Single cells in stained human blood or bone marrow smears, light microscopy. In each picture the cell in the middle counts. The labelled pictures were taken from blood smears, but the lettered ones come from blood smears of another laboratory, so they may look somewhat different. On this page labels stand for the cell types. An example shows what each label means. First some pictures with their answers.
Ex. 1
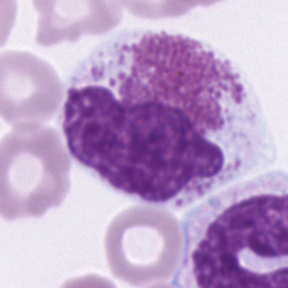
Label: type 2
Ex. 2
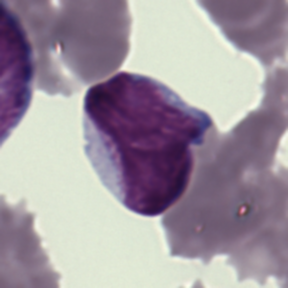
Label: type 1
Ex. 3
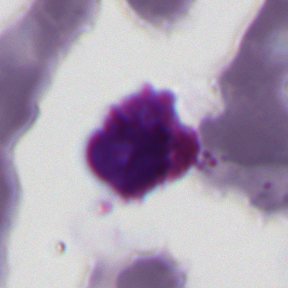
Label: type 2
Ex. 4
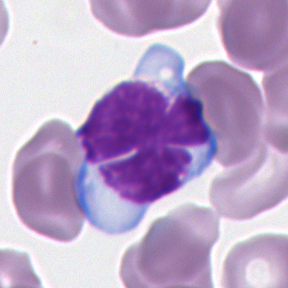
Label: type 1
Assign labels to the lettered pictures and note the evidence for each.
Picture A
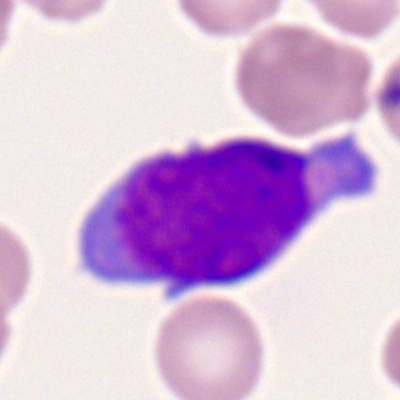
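type 1. Evidence: The nucleus fills most of the cell.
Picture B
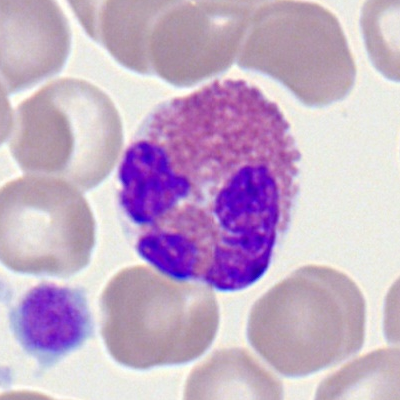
type 2. Evidence: The nucleus is split into separate lobes rather than forming one single mass.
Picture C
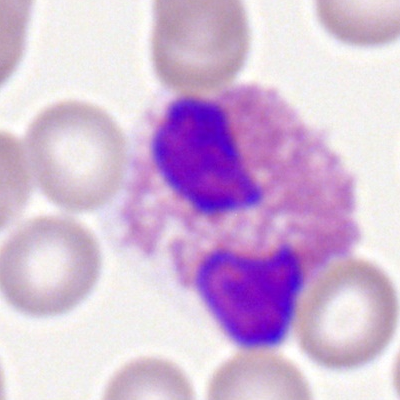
type 2. Evidence: The nucleus is in two lobes.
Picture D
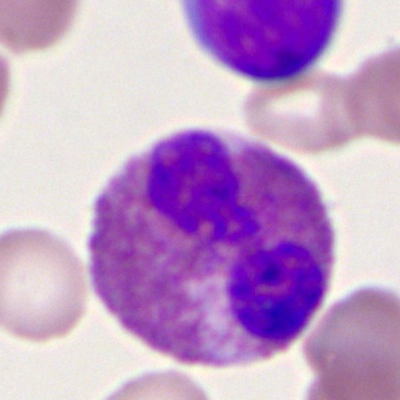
type 2. Evidence: The nucleus is split into two separate lobes.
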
